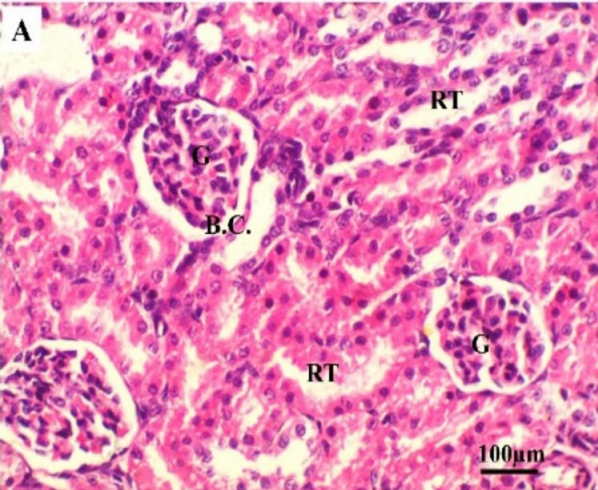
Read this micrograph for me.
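Renal cortex with glomeruli surrounded by Bowman's capsule and closely packed renal tubules. Each glomerulus is a rounded tuft of cells with dark purple nuclei, separated from the capsule wall by a narrow clear space. The surrounding tubules are lined by cuboidal cells with pink granular cytoplasm and round central nuclei. Tubule lumens are clear and the epithelium is continuous, with little interstitial tissue between tubules.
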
